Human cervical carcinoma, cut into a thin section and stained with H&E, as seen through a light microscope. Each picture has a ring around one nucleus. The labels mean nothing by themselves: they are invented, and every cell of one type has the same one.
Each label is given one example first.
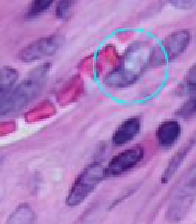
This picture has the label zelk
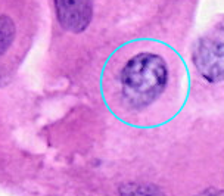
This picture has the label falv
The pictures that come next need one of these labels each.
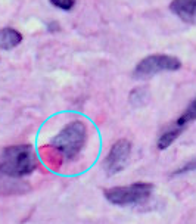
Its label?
zelk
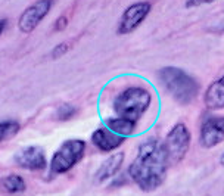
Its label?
zelk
